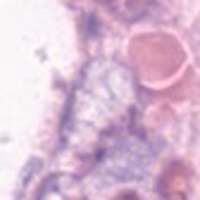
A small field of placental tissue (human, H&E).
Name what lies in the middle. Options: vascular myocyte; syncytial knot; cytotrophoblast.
cytotrophoblast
